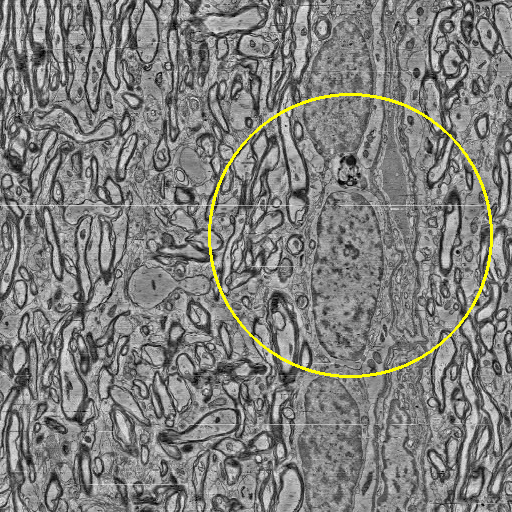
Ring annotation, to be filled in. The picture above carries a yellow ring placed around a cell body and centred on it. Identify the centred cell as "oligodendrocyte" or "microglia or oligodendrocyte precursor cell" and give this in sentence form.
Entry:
The cell in the middle of the ring is a microglial cell or oligodendrocyte precursor cell.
